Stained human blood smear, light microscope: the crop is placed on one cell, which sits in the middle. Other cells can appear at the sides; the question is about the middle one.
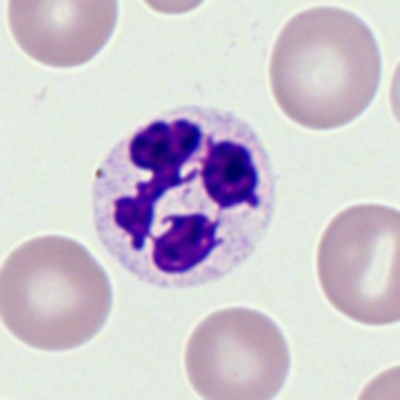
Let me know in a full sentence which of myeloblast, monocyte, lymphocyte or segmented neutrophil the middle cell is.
The target cell in the middle of the crop is a segmented neutrophil.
